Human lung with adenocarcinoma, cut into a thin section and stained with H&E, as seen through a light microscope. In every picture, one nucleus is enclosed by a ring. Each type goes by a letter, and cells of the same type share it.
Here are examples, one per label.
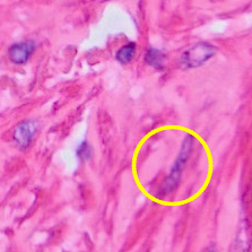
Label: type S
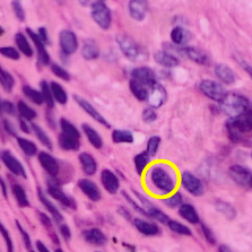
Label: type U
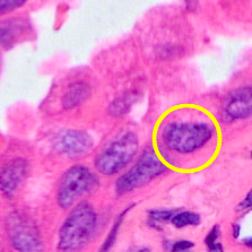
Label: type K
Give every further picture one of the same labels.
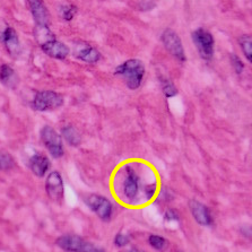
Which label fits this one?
type S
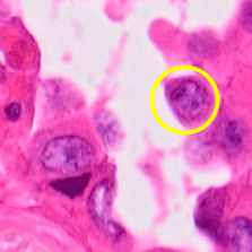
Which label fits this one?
type K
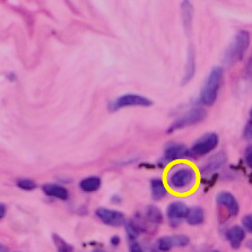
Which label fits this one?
type U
